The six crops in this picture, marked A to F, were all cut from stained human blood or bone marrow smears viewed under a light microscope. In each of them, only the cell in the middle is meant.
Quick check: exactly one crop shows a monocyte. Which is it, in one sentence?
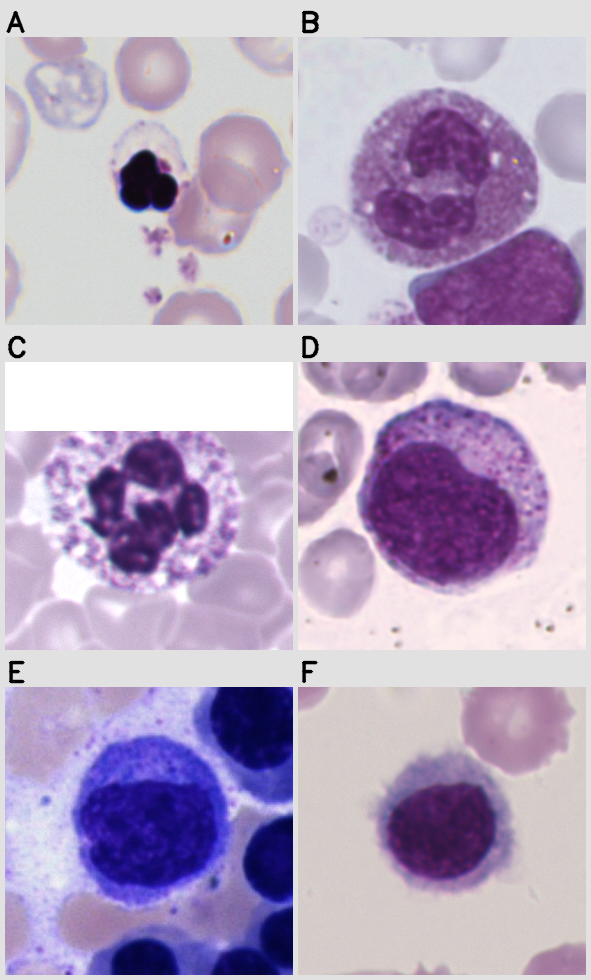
Of the crops given, a monocyte is found in crop E.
